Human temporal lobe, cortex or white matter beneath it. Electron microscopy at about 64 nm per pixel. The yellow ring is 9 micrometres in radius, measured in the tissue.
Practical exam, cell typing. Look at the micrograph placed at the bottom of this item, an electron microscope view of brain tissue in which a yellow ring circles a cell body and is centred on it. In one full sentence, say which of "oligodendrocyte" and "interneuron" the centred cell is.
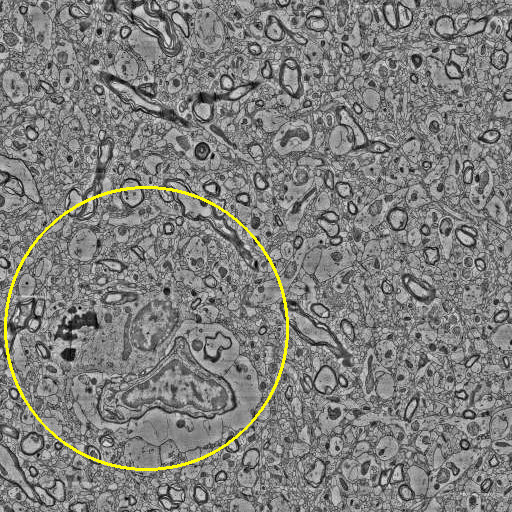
Given the options, an oligodendrocyte fits the cell whose body the yellow ring is centred on.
